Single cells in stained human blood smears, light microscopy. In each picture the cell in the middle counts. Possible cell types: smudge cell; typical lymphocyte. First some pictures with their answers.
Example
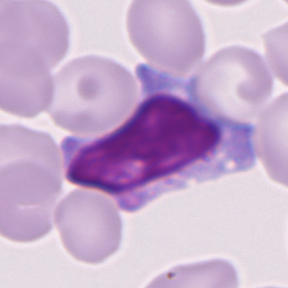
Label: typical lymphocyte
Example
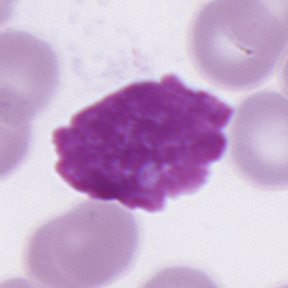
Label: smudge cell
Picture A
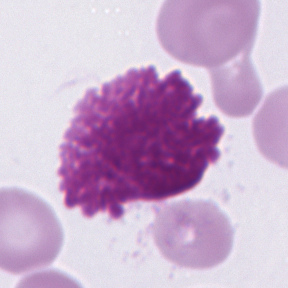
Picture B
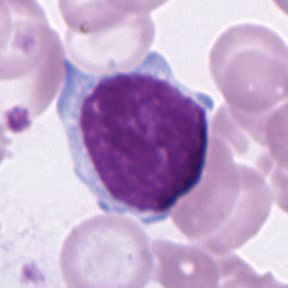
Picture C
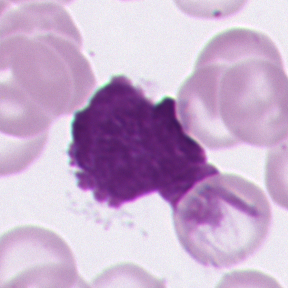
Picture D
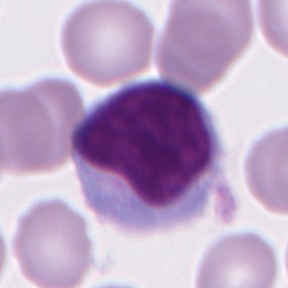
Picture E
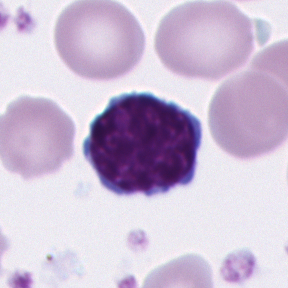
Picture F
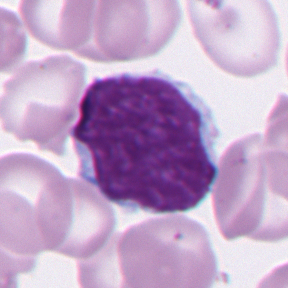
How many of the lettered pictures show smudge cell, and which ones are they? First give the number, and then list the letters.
2, namely A, C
